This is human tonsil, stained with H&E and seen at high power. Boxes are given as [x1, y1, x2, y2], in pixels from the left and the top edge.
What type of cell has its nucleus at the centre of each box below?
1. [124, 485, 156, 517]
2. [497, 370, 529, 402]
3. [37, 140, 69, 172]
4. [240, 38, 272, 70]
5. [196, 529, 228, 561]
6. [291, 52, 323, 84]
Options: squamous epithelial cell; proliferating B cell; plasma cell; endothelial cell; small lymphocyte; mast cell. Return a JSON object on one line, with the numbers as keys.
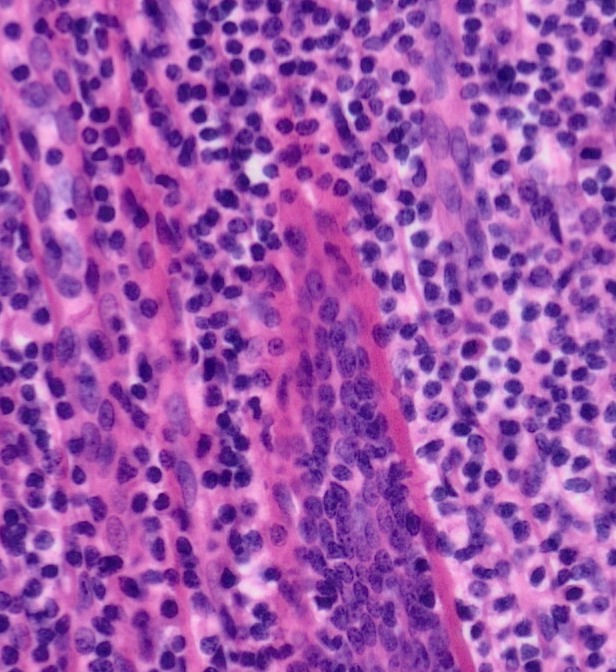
{"1": "endothelial cell", "2": "small lymphocyte", "3": "endothelial cell", "4": "small lymphocyte", "5": "endothelial cell", "6": "small lymphocyte"}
